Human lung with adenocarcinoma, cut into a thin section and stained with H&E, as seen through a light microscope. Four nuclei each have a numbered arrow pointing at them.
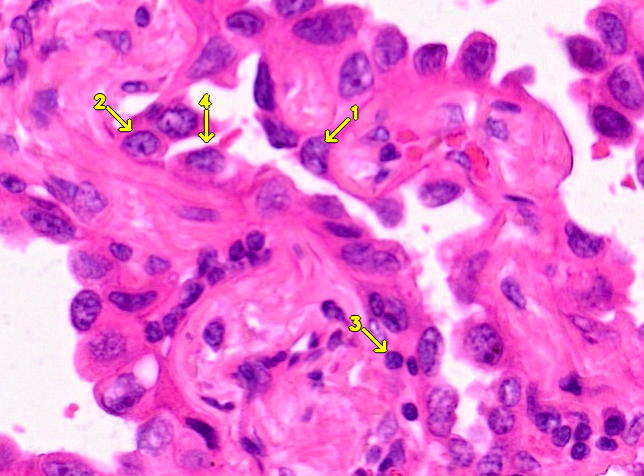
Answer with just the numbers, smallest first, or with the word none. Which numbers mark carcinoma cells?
1, 2, 4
